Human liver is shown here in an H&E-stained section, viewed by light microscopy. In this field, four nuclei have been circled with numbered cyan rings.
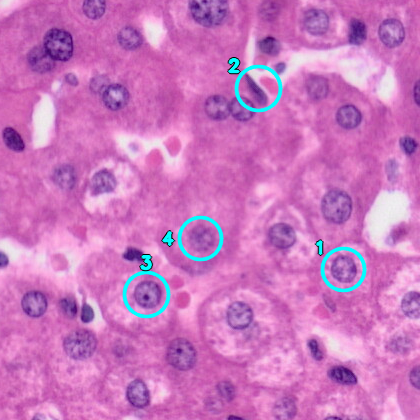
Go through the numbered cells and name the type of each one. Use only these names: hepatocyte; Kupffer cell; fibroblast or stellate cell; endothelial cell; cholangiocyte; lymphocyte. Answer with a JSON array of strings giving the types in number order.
["hepatocyte", "endothelial cell", "hepatocyte", "hepatocyte"]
